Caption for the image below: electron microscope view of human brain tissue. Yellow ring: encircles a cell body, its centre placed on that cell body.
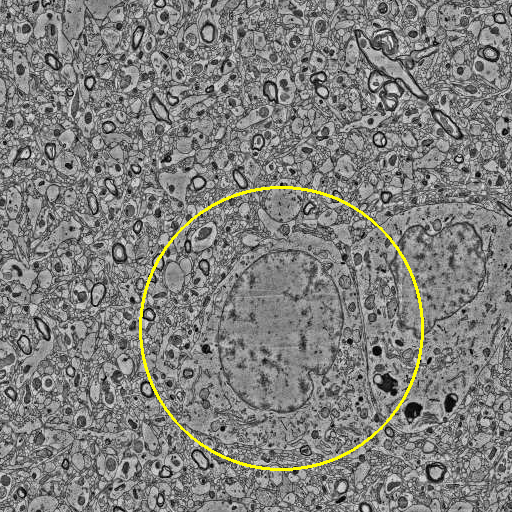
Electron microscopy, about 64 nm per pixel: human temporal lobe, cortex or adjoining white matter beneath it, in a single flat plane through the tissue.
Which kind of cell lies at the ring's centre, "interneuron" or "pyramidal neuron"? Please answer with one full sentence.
The picture shows an interneuron at the centre of the yellow ring.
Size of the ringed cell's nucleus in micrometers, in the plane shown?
Roughly 10 micrometres by 8 micrometres, in this plane.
